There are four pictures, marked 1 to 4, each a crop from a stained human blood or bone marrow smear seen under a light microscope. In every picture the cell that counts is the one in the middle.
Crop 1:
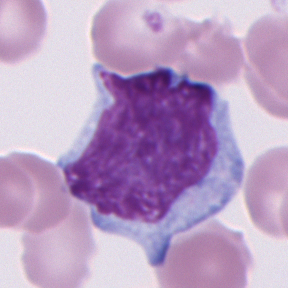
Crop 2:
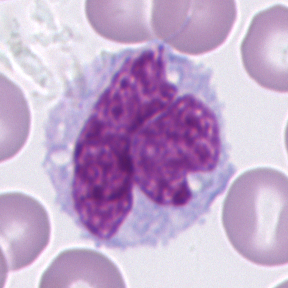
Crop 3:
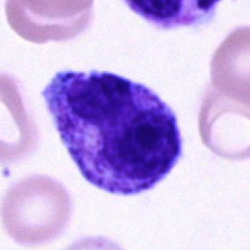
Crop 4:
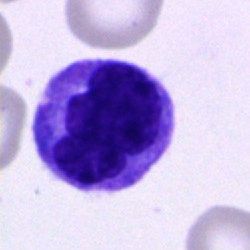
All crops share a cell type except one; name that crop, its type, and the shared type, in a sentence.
Here the outlier is crop 3, which is a metamyelocyte, and the rest are monocytes.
